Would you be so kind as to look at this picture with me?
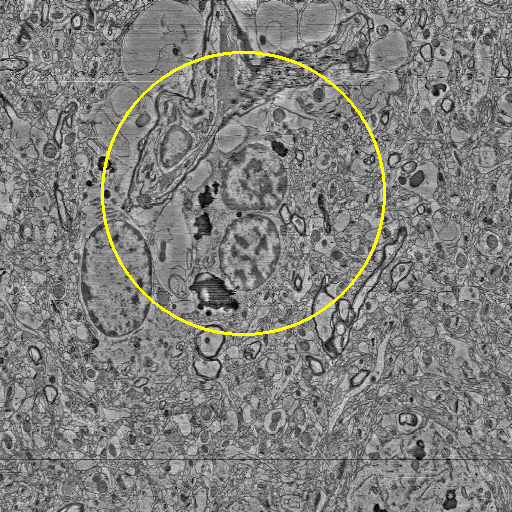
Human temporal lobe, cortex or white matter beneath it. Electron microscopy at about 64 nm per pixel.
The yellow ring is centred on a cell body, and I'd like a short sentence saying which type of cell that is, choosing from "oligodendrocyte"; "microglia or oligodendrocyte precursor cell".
The cell body in the ring belongs to an oligodendrocyte.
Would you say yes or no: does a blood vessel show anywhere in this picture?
Yes, one is visible.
